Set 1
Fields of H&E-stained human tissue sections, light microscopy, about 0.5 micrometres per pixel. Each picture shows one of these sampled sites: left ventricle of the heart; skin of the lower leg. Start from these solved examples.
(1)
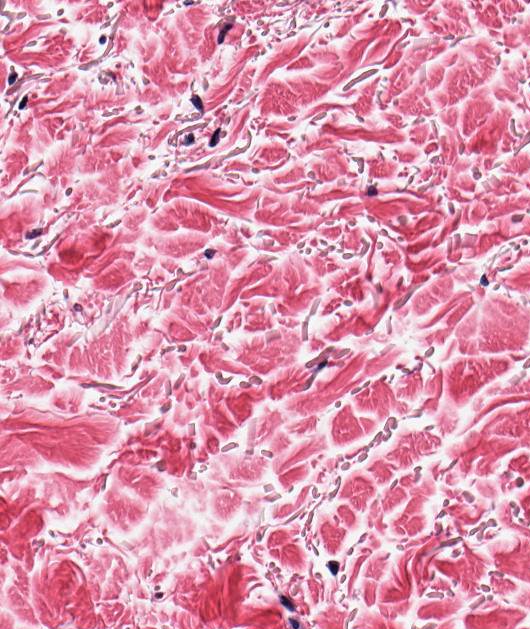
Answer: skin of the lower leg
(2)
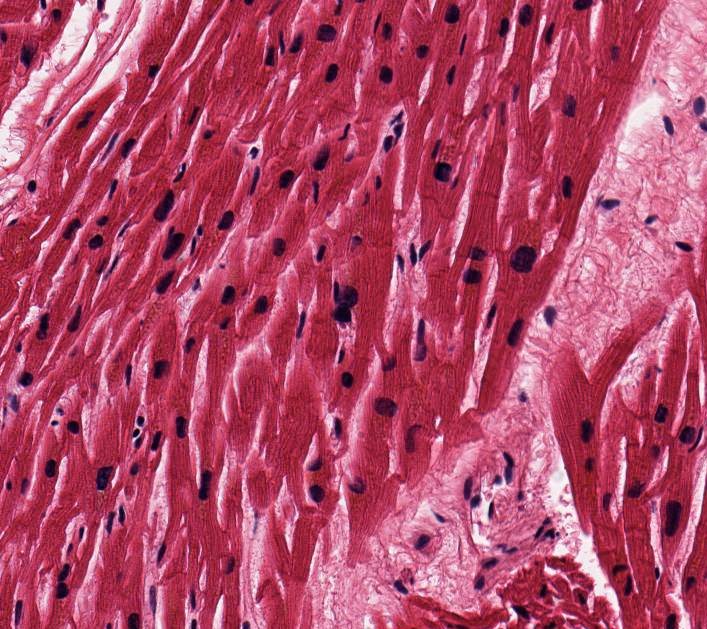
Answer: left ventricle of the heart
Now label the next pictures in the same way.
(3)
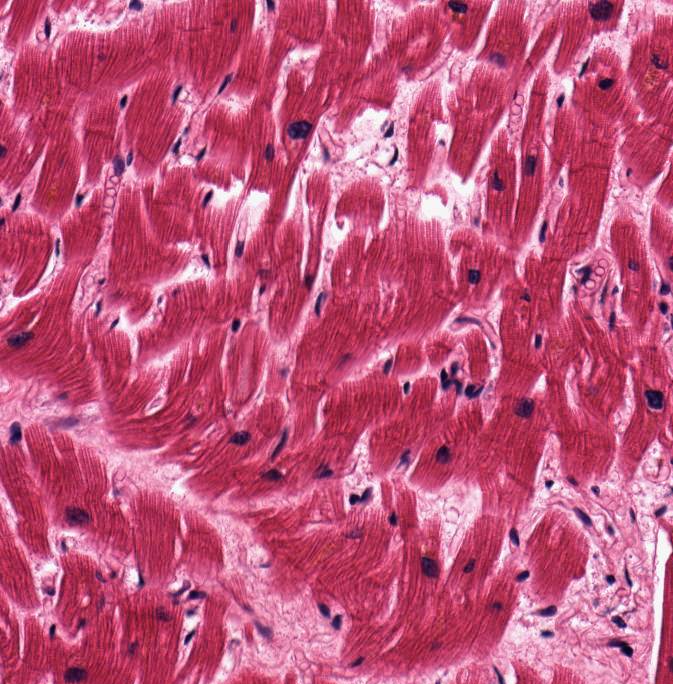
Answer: left ventricle of the heart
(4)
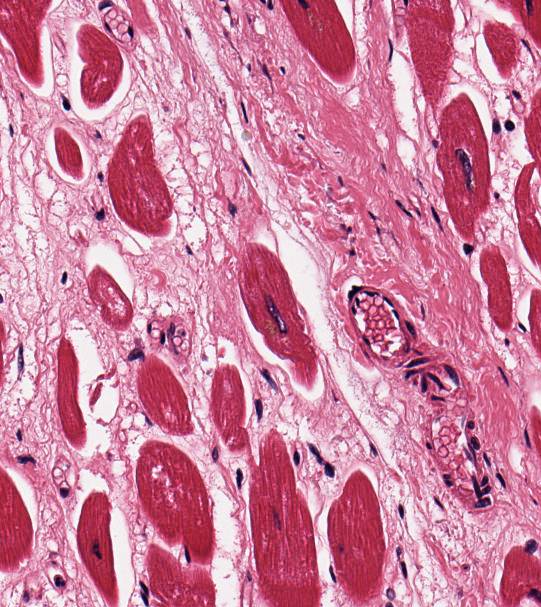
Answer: left ventricle of the heart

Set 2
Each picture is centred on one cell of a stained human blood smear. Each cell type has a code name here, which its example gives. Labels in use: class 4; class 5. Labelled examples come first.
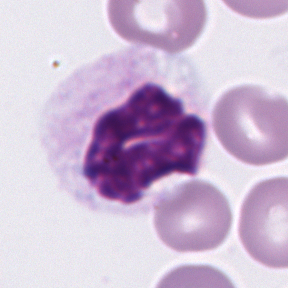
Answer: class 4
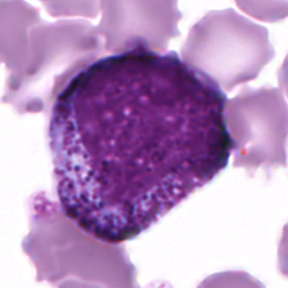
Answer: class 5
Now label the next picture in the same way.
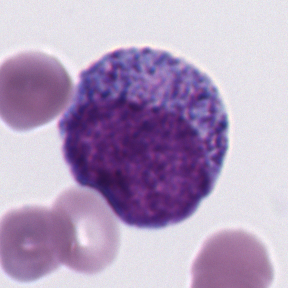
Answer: class 5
